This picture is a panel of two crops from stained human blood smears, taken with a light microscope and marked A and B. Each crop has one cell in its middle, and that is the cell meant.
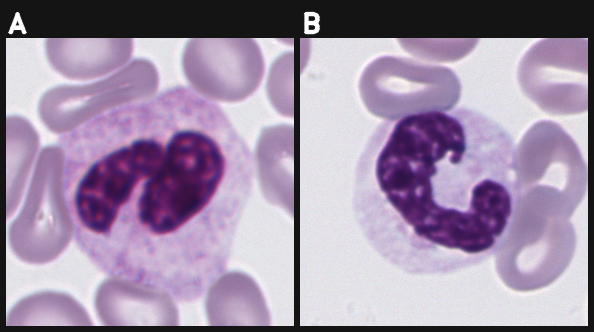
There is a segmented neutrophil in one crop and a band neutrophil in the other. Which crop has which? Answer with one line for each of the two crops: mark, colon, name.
A: segmented neutrophil
B: band neutrophil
